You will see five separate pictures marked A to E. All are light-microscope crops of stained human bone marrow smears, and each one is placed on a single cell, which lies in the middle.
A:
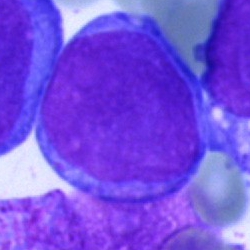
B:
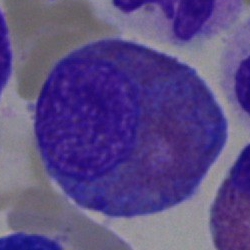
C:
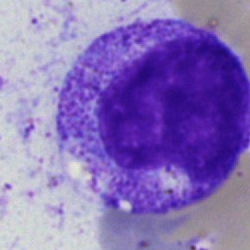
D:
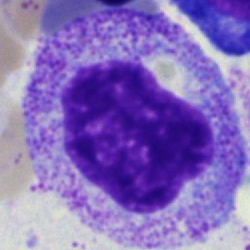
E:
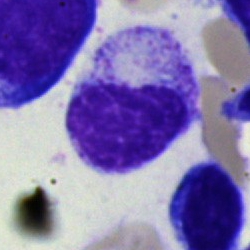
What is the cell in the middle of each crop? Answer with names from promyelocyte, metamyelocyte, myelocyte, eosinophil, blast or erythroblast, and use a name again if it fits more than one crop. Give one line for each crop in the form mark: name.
A: blast
B: eosinophil
C: myelocyte
D: metamyelocyte
E: metamyelocyte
